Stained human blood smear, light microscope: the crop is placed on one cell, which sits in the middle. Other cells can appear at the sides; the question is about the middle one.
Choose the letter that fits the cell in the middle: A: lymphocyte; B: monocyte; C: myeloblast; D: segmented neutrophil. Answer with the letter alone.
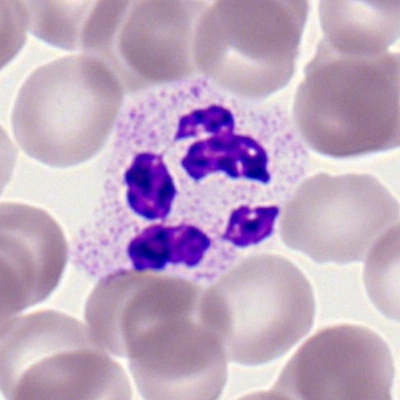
D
